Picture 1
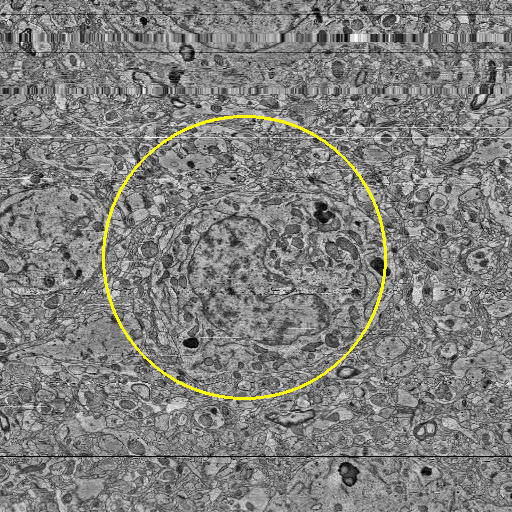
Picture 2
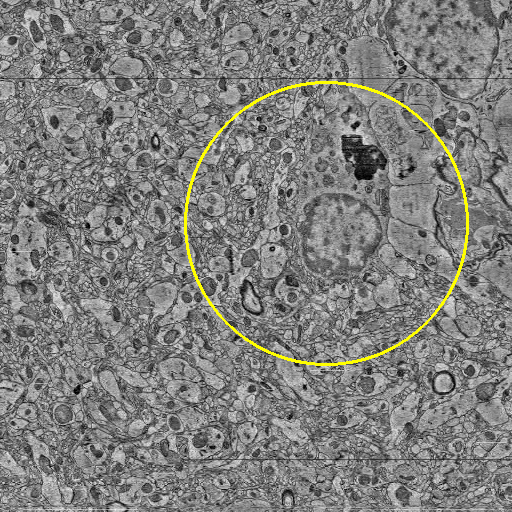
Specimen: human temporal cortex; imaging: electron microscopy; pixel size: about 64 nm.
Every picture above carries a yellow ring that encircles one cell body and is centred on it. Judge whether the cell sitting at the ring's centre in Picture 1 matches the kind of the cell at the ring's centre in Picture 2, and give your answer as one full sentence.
No, the cells centred in the rings of Pictures 1 and 2 belong to two kinds.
